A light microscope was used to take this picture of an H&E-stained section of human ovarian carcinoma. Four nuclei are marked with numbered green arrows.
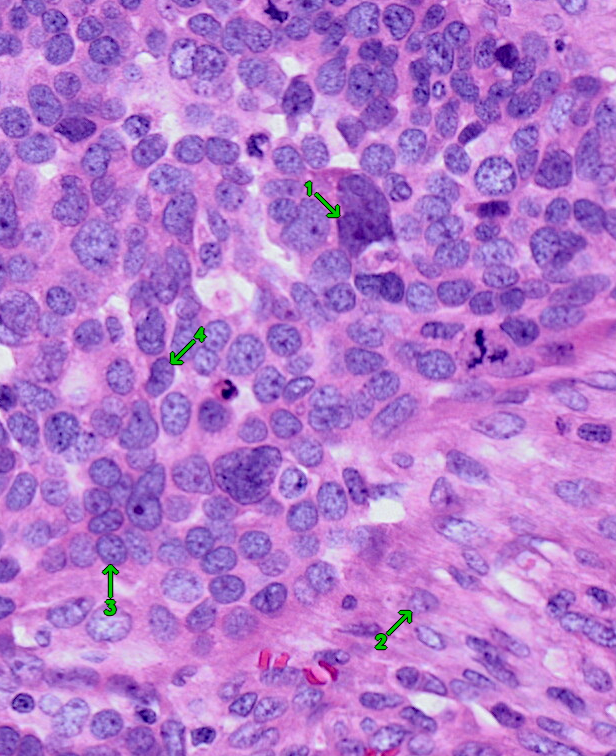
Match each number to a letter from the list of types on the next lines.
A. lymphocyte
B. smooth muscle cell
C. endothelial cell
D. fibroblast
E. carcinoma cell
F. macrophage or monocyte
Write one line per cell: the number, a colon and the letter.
1: E
2: D
3: E
4: E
